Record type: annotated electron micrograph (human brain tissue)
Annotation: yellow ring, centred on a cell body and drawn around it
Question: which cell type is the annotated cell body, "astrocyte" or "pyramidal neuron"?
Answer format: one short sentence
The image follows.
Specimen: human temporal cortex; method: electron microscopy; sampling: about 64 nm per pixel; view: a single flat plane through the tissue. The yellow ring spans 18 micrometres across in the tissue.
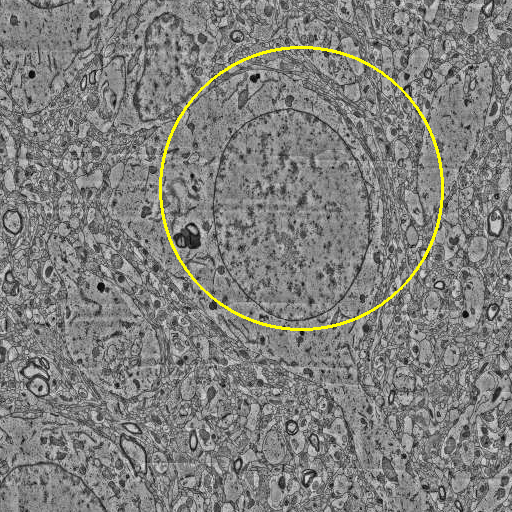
The annotated cell body is that of a pyramidal neuron.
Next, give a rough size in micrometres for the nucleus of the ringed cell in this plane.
About 14 micrometres by about 10 micrometres in this plane.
